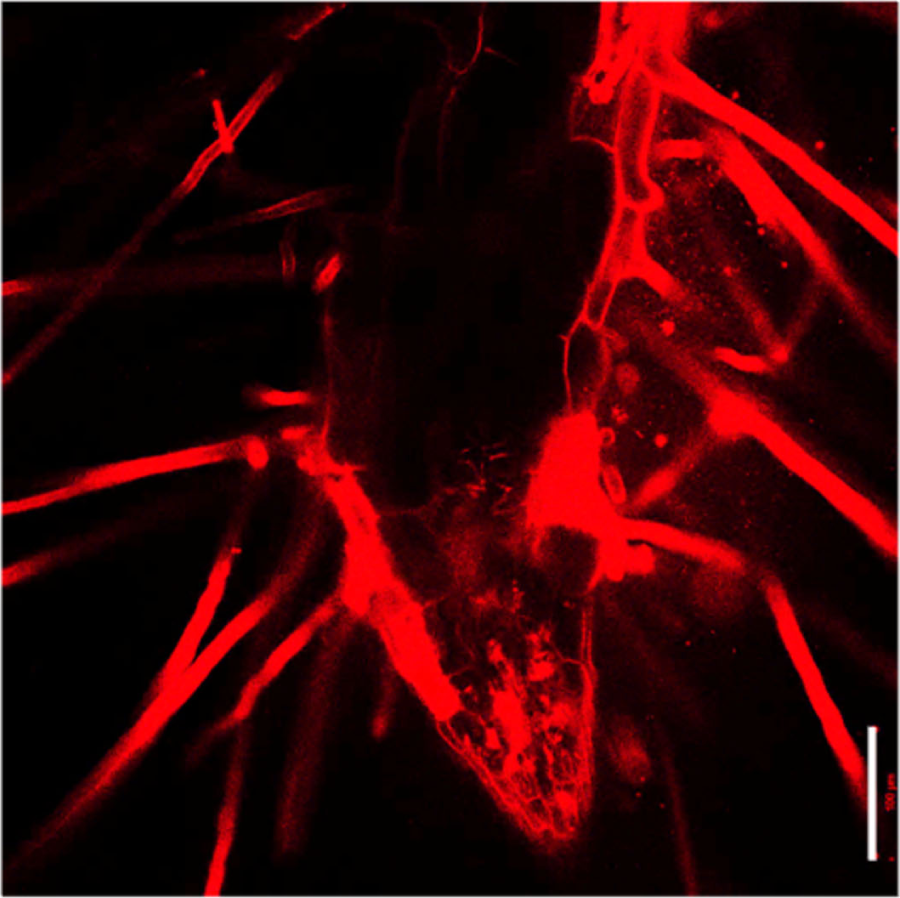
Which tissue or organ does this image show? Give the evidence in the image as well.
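A tapered, rounded tip at the lower centre of the image. Small boxy cells outlined in red inside the tip. Many long tubular outgrowths radiating from the organ above the tip.
Hence: root meristem.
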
